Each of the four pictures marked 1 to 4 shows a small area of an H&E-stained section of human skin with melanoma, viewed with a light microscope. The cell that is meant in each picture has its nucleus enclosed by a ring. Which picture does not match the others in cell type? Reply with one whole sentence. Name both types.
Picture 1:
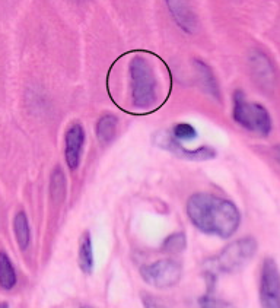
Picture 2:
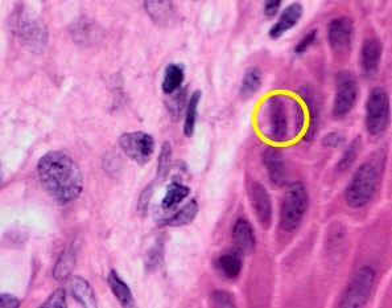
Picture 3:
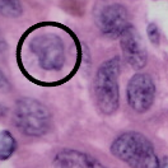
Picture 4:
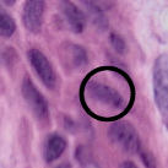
Picture 3 differs, because its cell is a “macrophage or monocyte” and the rest are keratinocytes.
